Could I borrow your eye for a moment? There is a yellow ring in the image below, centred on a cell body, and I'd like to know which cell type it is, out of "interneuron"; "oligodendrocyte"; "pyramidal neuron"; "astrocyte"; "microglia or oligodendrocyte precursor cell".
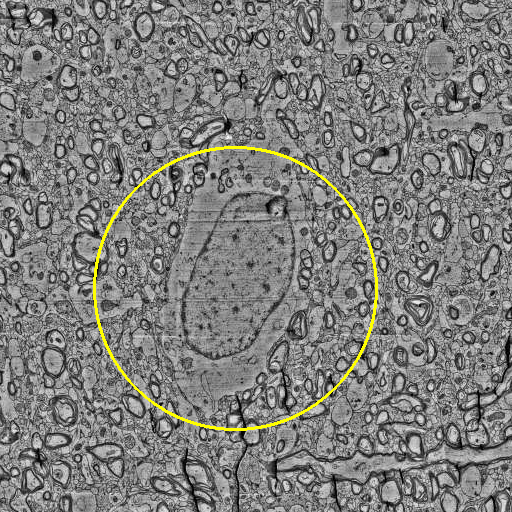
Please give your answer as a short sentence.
The cell body at the centre is that of an astrocyte.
